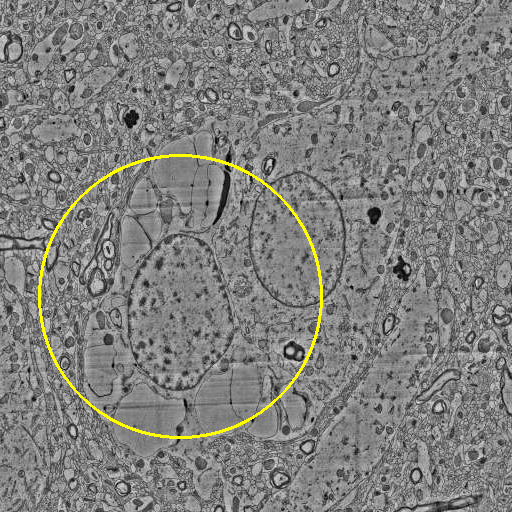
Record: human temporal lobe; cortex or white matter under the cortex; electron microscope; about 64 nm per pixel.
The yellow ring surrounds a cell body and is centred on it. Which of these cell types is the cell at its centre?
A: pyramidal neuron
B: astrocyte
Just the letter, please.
B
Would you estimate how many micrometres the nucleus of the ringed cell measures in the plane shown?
The nucleus works out at approximately 10 by 7 micrometres in this plane.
